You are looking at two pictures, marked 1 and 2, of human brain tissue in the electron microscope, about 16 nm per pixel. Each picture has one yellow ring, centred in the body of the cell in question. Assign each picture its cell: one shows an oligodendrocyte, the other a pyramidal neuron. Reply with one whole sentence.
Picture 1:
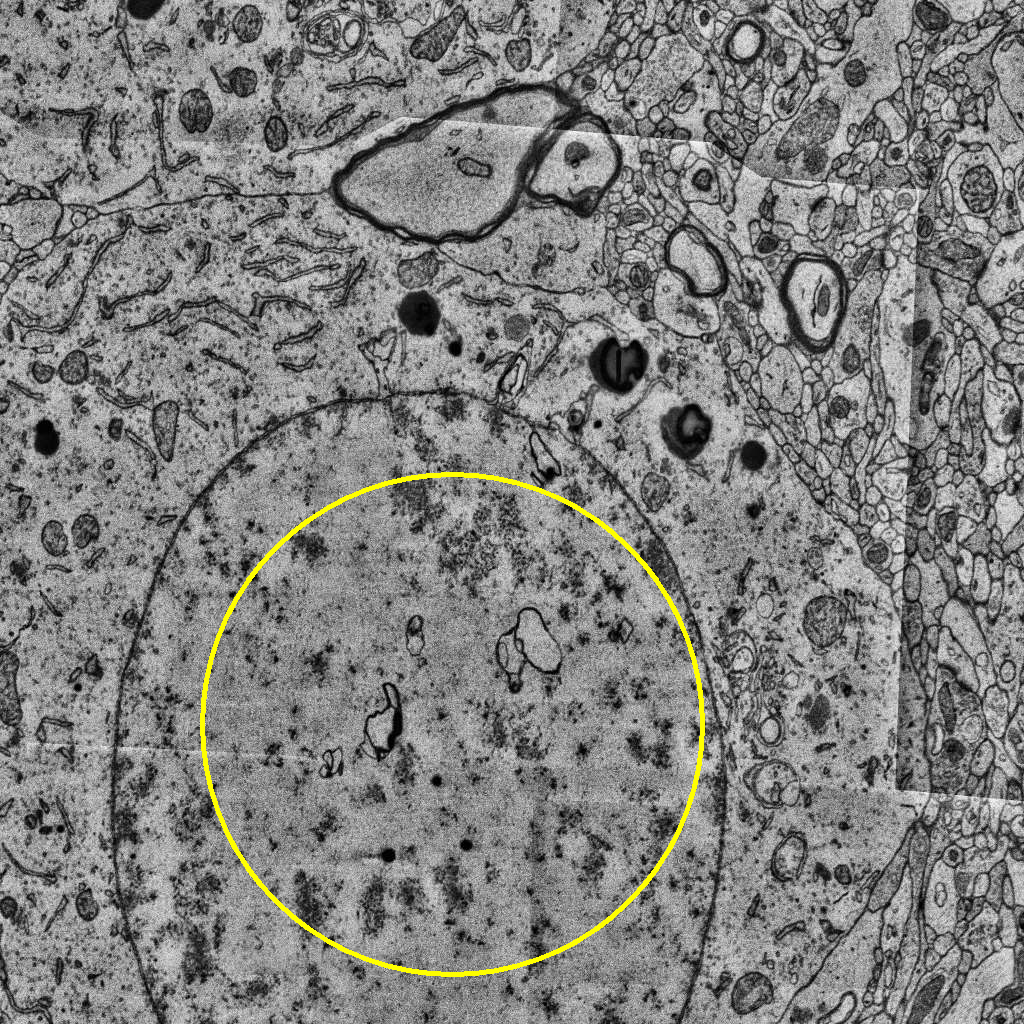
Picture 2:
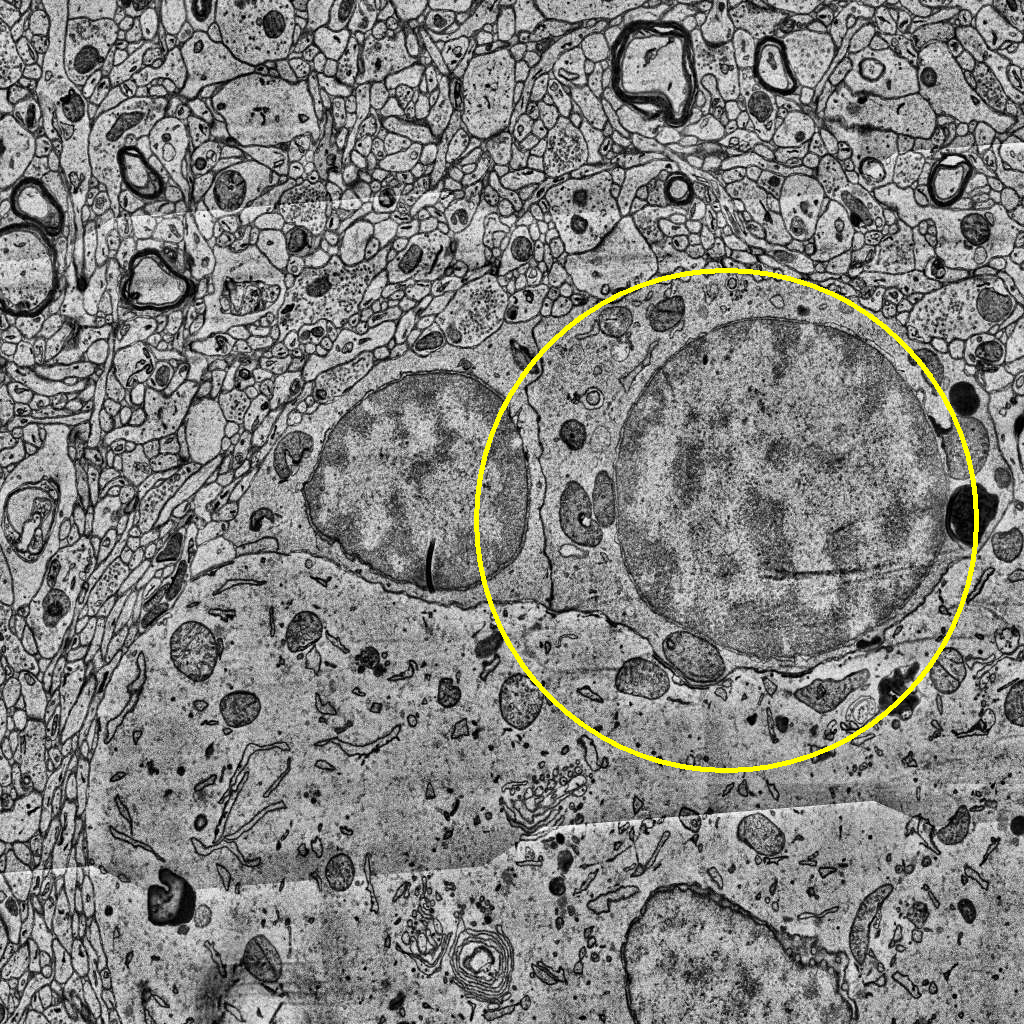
Picture 2 shows an oligodendrocyte, while picture 1 shows a pyramidal neuron.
